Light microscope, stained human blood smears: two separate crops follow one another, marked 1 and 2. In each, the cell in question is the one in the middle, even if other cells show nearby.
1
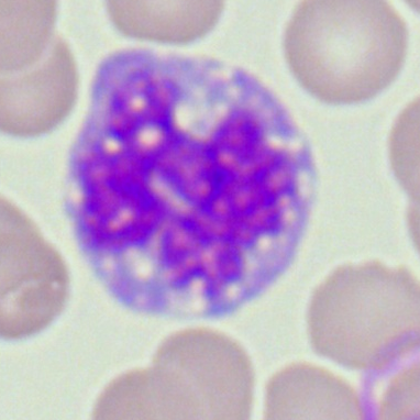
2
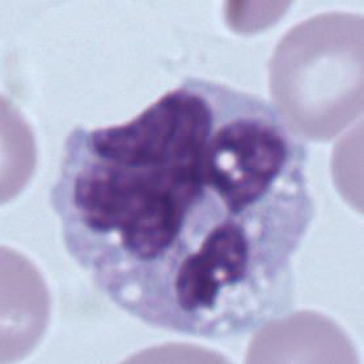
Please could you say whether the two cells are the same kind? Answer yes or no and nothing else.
yes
